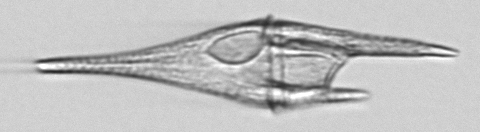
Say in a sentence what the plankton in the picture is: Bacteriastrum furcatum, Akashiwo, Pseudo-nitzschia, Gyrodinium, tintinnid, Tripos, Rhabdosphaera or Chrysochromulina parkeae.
This is Tripos.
